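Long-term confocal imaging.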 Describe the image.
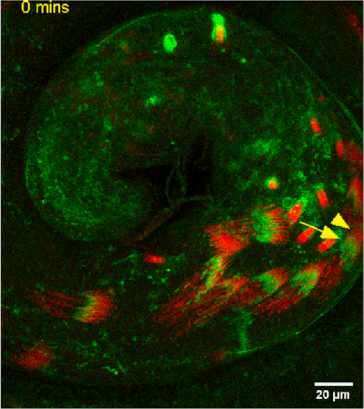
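Within the coiled testis, elongating spermatid cysts are seen as parallel bundles lying side by side toward the outer curve. The rest of the testis shows a faint green network with scattered small bright green dots and rings.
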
